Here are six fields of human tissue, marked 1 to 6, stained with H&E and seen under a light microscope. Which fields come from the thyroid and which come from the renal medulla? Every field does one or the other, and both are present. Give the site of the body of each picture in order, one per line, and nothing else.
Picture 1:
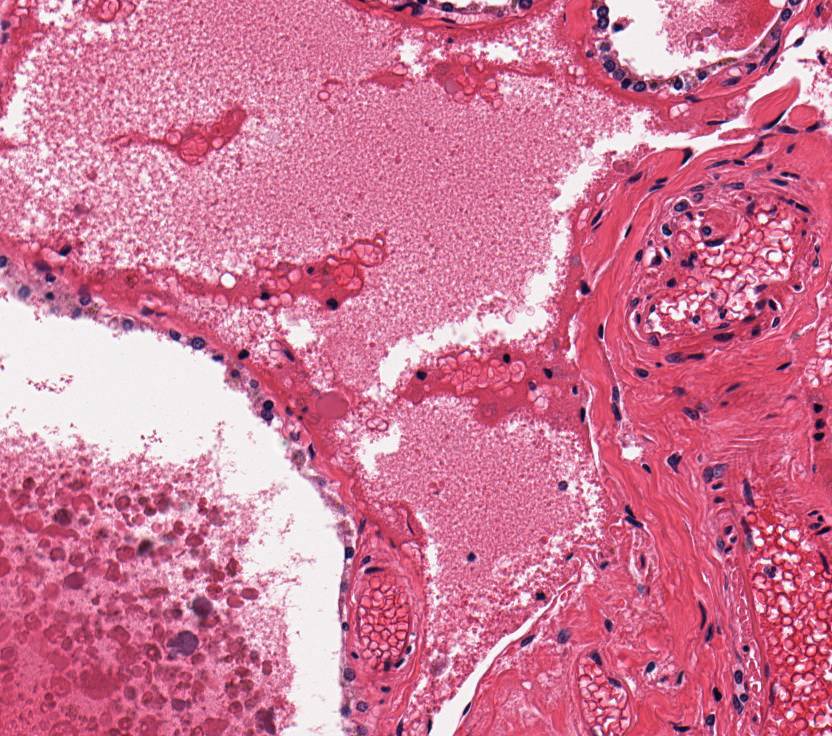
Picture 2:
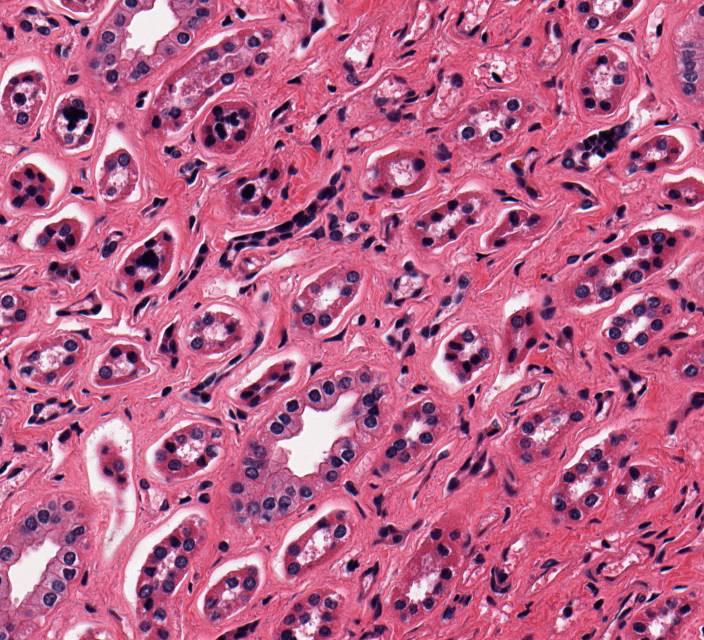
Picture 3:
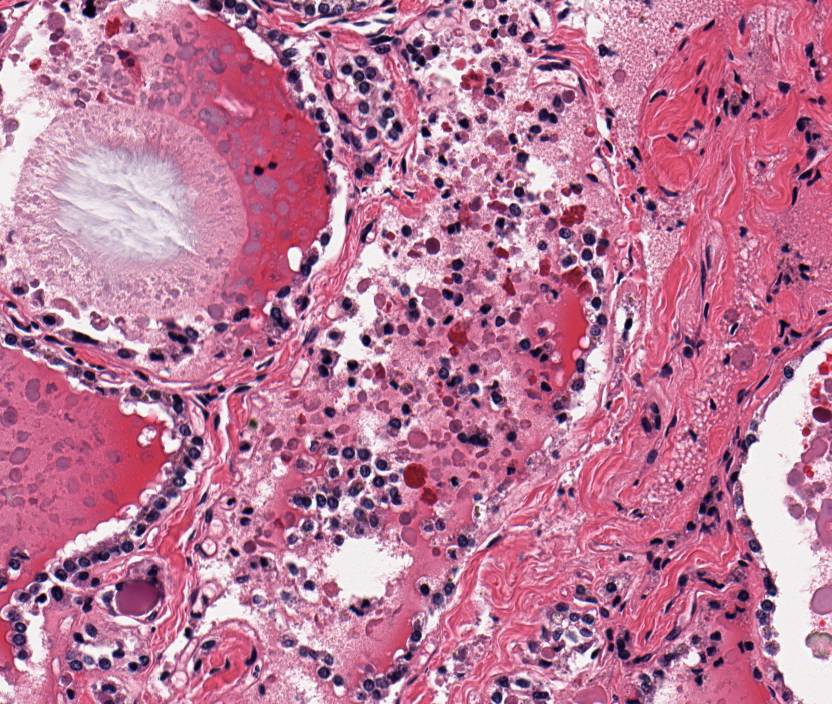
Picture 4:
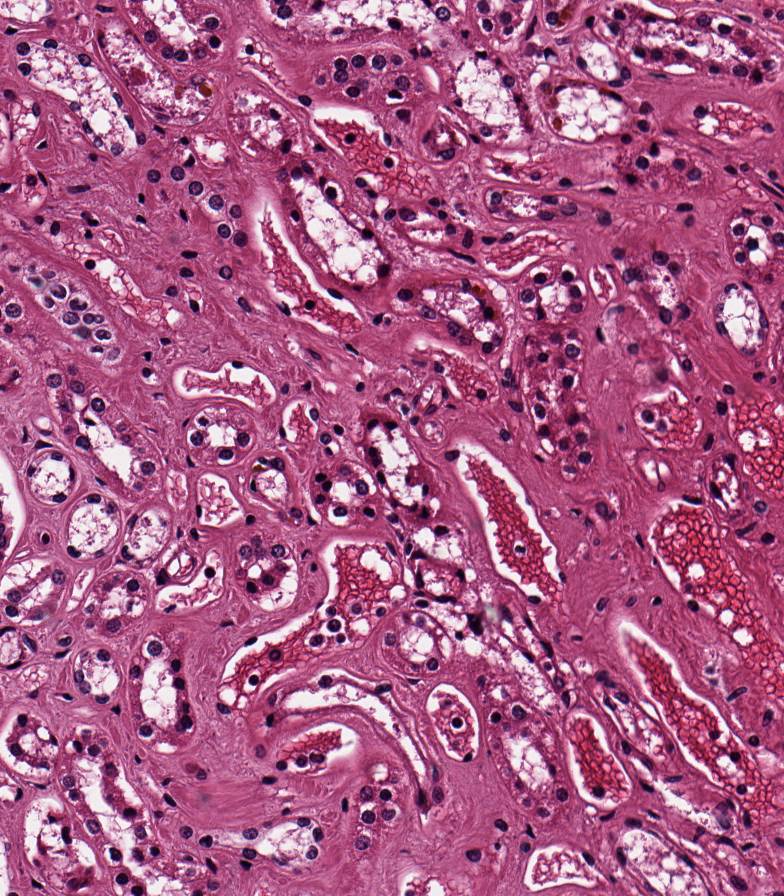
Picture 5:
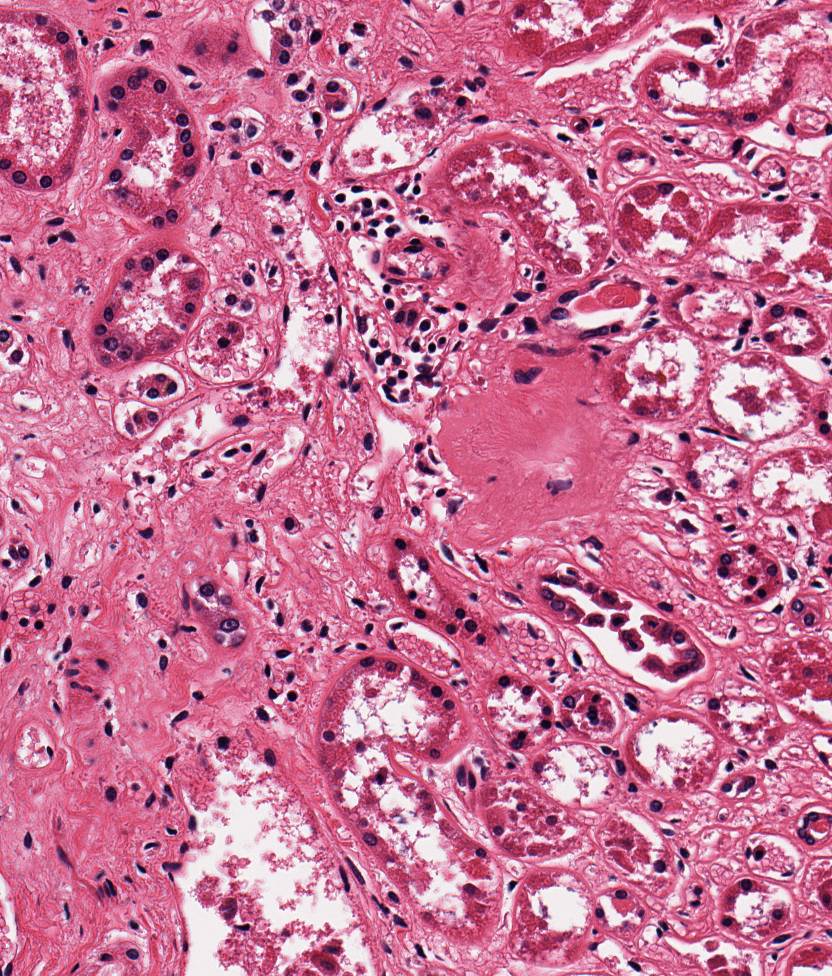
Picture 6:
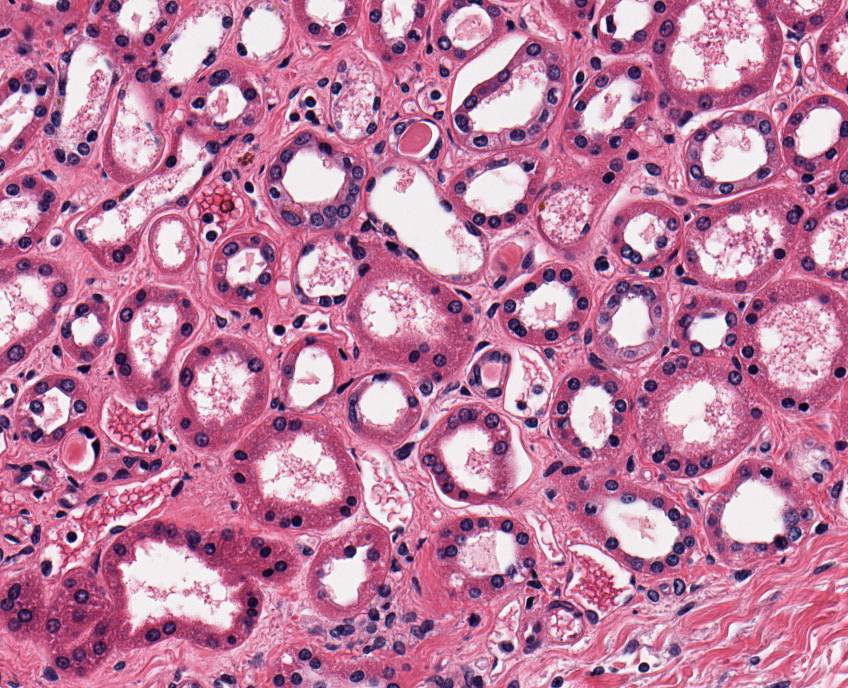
thyroid
renal medulla
thyroid
renal medulla
renal medulla
renal medulla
